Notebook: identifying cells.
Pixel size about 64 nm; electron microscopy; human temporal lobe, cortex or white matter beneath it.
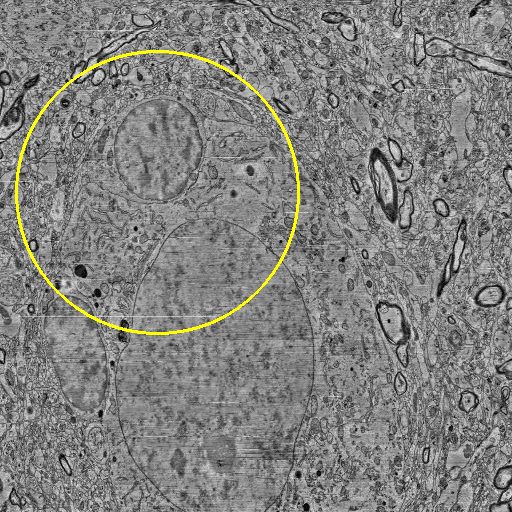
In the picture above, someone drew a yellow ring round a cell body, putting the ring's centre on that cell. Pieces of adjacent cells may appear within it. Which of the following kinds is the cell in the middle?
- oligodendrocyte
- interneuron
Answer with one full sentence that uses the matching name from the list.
In this picture, the yellow ring is centred on the body of an oligodendrocyte.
